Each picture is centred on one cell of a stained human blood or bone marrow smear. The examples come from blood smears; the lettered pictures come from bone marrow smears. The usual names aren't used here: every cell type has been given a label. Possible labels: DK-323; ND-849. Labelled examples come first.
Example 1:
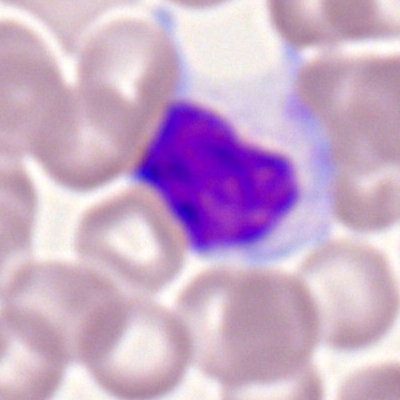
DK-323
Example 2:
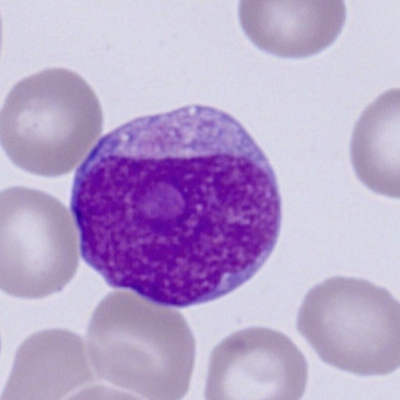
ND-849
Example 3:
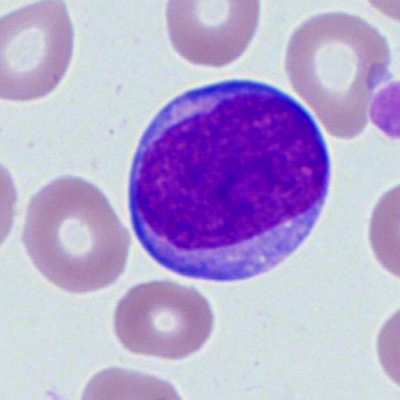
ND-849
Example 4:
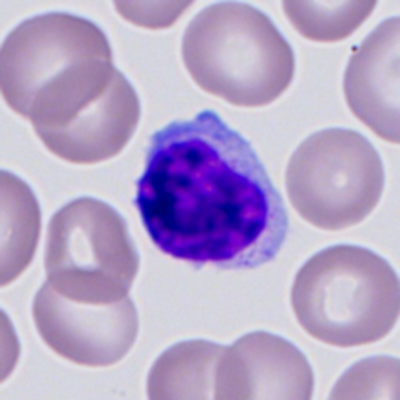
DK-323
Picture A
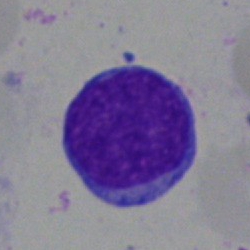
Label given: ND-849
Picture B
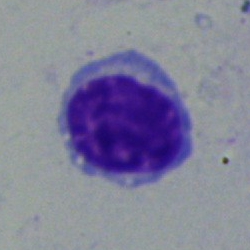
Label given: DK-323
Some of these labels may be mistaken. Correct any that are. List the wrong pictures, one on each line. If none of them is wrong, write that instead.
A: DK-323, not ND-849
